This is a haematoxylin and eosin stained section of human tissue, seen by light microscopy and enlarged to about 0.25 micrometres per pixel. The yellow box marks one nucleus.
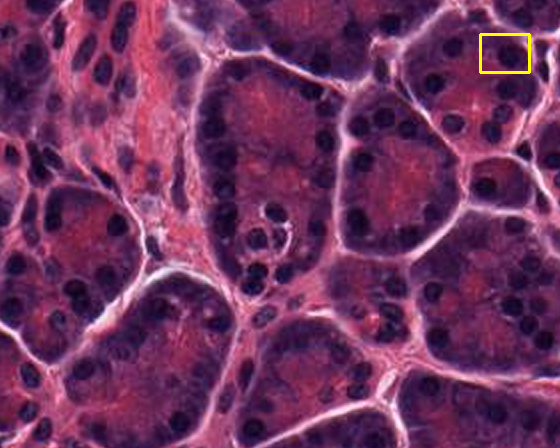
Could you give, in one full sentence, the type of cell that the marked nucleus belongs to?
The marked nucleus is recognized as the nucleus of a pancreatic acinar cell.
